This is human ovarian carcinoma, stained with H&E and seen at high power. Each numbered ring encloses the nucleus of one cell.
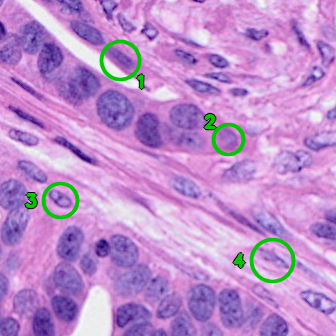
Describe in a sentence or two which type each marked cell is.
Cell 1 is a carcinoma cell, cell 2 is a fibroblast, cell 3 is a fibroblast and cell 4 is a fibroblast.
